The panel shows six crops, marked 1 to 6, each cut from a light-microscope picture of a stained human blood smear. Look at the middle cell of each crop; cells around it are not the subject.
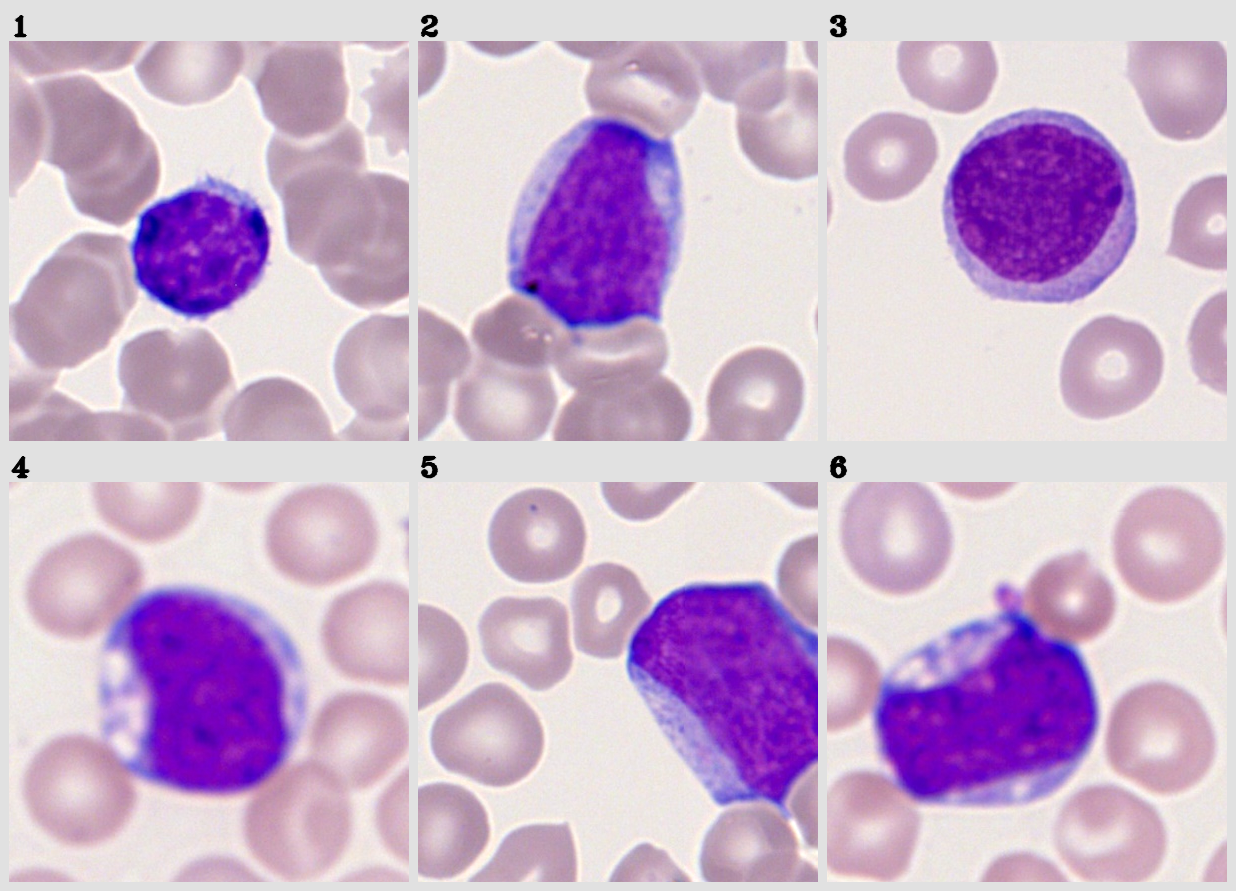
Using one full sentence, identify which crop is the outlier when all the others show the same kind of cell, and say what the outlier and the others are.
The others are all myeloblasts; crop 1 is a lymphocyte.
